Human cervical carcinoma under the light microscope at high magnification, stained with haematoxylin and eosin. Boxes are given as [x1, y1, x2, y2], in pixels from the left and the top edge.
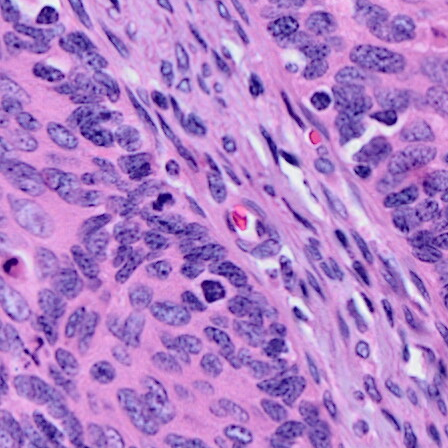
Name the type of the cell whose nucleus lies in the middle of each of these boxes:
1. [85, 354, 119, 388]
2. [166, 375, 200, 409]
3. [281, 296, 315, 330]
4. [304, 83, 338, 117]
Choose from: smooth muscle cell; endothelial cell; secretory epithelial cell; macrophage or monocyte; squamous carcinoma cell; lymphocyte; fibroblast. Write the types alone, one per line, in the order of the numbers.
squamous carcinoma cell
squamous carcinoma cell
lymphocyte
lymphocyte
